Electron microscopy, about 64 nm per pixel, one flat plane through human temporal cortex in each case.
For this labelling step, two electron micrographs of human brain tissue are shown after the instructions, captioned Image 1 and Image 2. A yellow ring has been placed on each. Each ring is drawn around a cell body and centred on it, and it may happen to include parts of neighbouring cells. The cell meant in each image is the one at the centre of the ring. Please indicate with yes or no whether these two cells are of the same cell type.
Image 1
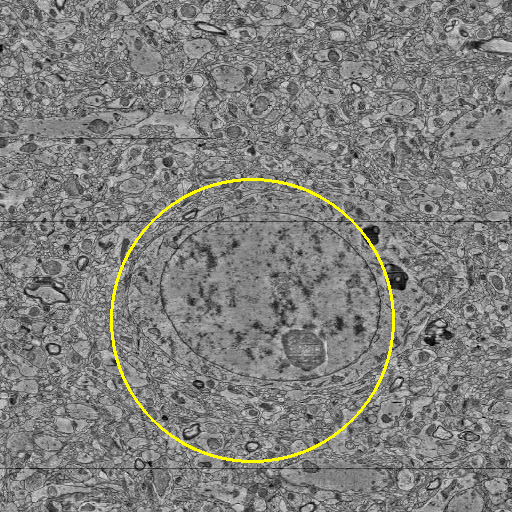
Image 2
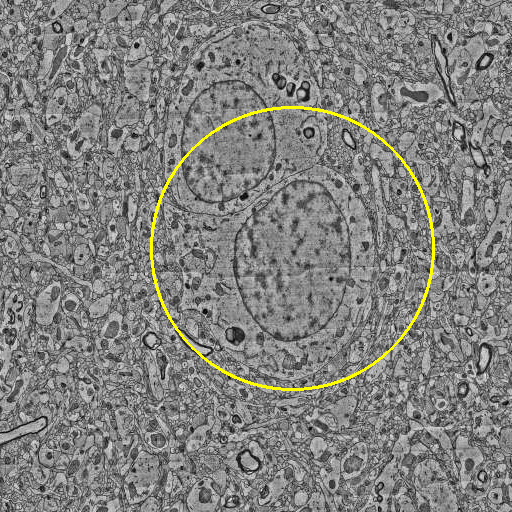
yes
